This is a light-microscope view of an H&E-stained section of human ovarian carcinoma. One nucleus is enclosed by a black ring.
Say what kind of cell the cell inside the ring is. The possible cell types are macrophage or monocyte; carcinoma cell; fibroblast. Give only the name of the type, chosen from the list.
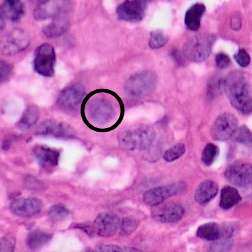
carcinoma cell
